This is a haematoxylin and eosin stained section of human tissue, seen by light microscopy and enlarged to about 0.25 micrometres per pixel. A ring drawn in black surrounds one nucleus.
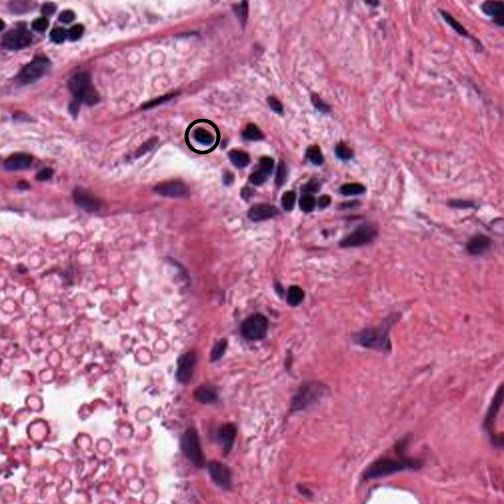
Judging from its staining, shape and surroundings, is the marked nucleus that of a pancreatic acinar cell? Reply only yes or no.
no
